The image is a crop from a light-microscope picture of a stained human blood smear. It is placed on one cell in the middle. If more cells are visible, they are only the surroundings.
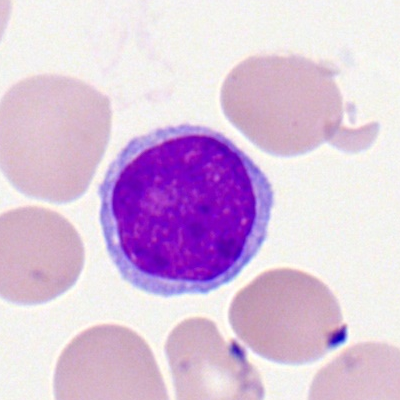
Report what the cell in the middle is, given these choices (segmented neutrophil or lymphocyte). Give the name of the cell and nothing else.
lymphocyte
